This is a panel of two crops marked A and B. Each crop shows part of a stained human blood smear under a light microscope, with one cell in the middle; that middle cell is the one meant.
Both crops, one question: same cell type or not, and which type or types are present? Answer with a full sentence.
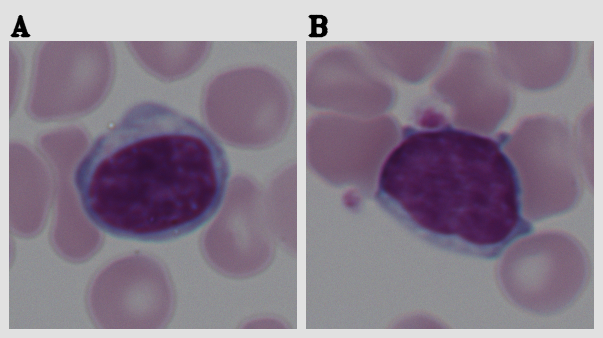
Yes, typical lymphocytes are present at the centre of both crops.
